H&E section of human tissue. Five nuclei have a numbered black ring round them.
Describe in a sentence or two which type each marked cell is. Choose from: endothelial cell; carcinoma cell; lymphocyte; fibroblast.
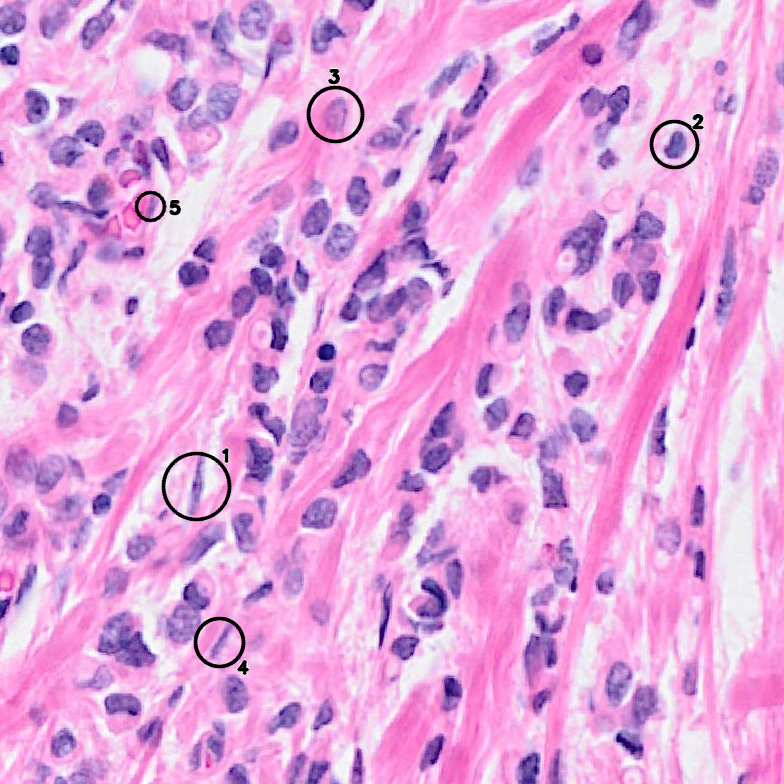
Cell 1 is a fibroblast, cell 2 is a lymphocyte, cell 3 is a carcinoma cell, cell 4 is a fibroblast and cell 5 is an endothelial cell.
